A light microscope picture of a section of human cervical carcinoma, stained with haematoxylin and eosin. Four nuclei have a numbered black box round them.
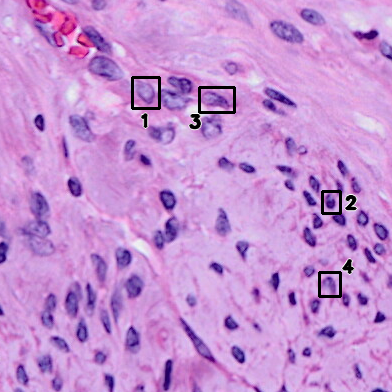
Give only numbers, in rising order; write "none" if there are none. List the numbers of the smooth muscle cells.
2, 4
